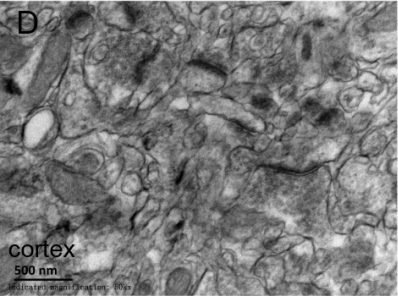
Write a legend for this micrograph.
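The field is packed with many small, rounded and elongated membrane-bound profiles cut in different planes. Several short segments of apposed membranes appear darkly thickened. Some profiles contain oval mitochondria, and a few small clear round profiles stand out as pale circles.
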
